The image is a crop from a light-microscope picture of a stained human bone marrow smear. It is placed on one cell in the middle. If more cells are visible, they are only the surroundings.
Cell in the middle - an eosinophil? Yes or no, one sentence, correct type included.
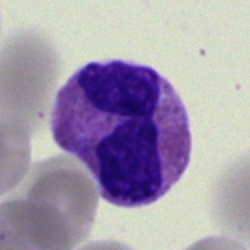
Yes, an eosinophil is what the central cell is.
